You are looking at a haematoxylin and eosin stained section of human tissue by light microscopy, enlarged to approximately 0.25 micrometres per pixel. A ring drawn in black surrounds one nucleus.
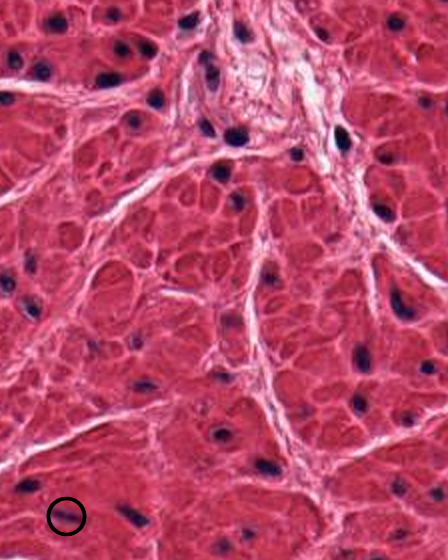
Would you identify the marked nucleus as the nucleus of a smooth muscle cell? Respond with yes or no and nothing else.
yes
